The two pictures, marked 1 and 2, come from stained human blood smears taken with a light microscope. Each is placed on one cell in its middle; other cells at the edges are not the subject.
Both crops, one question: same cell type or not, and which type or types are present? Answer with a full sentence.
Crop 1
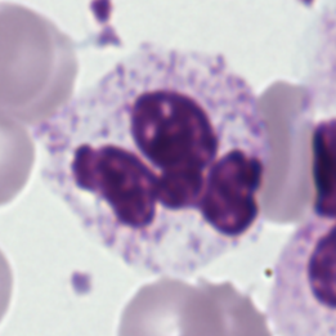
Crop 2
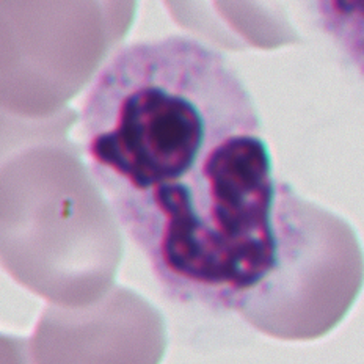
Yes, it is segmented neutrophils that sit at the centre of both crops.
